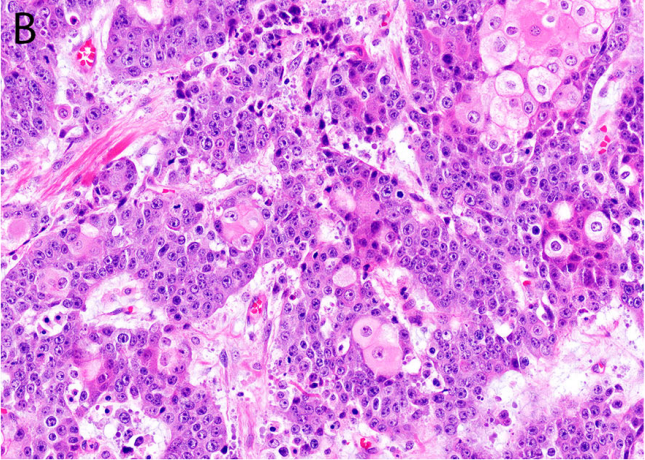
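Nests and sheets of carcinoma cells are interrupted by foci of abrupt keratinization. Most tumour cells are polygonal with round nuclei, visible nucleoli and moderate pale purple cytoplasm, packed closely in cohesive groups. Within them, clusters of larger cells with abundant glassy pink cytoplasm appear suddenly, without a gradual transition from the surrounding small cells. Thin pink fibrous stroma and small vessels containing red blood cells separate the nests, and pale loose areas lie between some groups.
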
